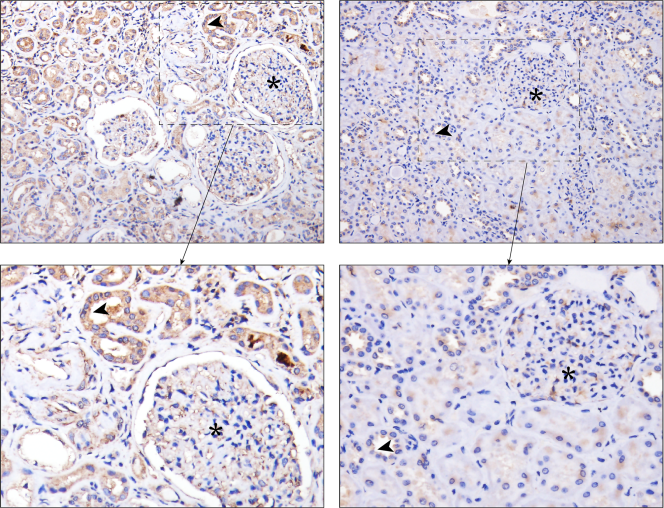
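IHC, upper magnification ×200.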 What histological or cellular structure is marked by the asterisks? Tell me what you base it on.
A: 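Each asterisk sits in a round tuft of densely packed cells. Tubule profiles surround the tuft. On this evidence: glomerulus.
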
